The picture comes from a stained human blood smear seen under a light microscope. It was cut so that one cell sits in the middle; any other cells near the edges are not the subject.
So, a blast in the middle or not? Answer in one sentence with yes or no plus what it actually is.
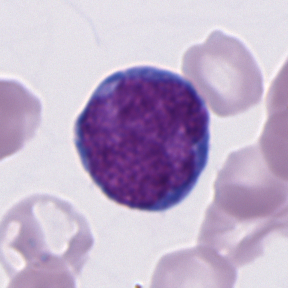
Yes, the cell positioned at the centre of the crop is a blast.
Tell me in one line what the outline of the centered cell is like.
No projections interrupt the outline; it is smooth all the way round.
